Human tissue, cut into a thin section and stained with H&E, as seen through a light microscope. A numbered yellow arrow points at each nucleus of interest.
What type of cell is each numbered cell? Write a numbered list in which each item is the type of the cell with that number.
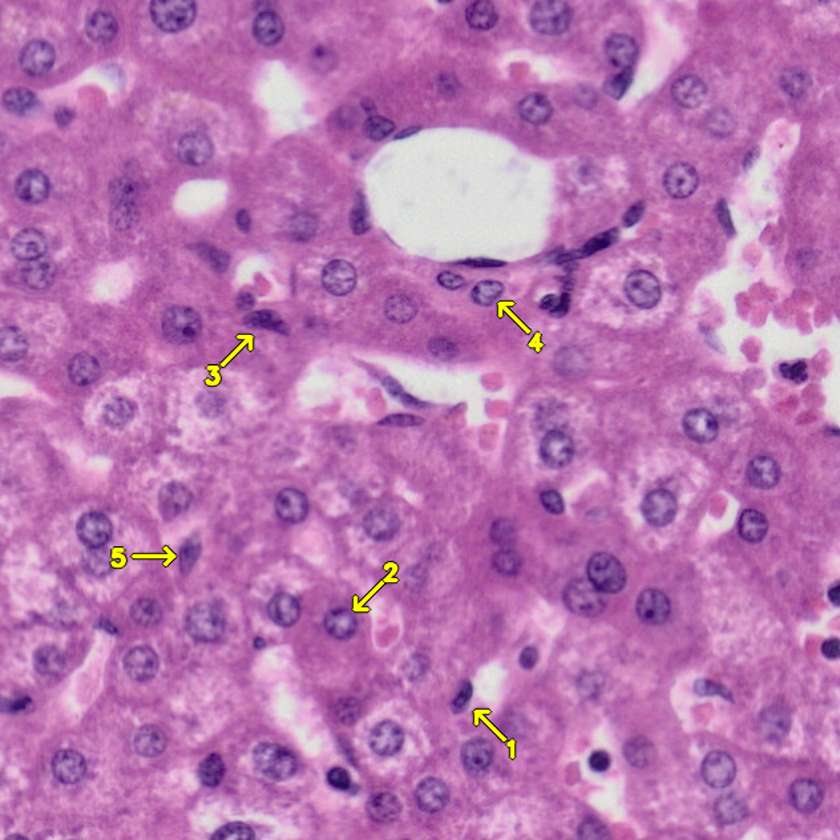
1. endothelial cell
2. hepatocyte
3. fibroblast or stellate cell
4. cholangiocyte
5. Kupffer cell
